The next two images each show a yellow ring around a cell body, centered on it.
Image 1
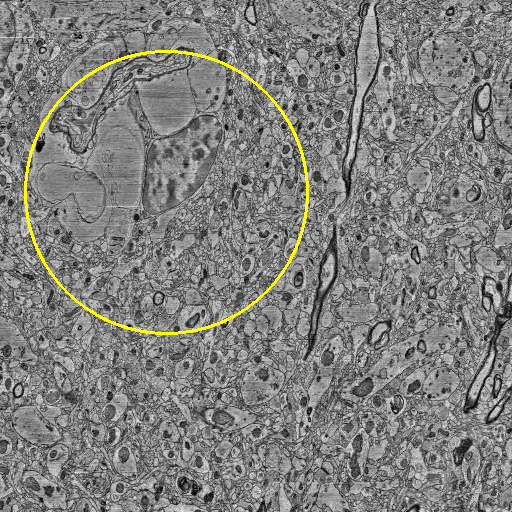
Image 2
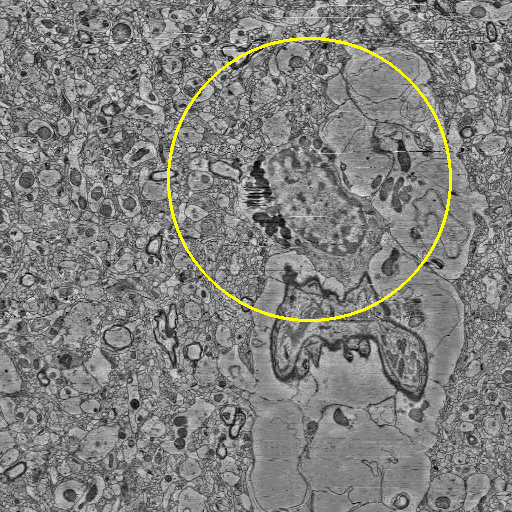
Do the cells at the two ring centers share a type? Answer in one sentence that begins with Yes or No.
No, across the two images the cells at the ring centers are of two types.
